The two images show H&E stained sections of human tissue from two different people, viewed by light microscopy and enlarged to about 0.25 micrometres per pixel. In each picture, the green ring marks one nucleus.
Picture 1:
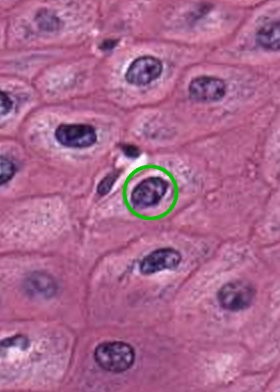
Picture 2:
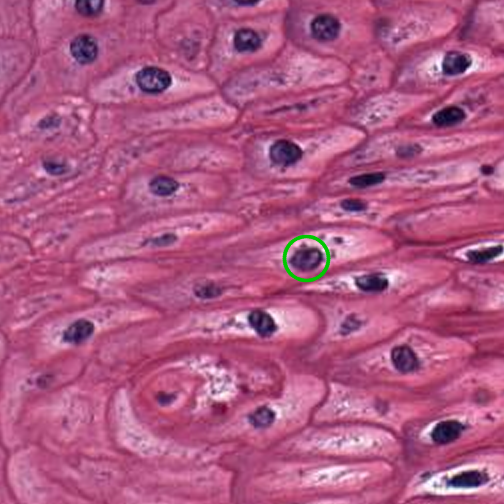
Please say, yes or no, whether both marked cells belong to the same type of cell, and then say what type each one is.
Yes, both are squamous epithelial cells.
